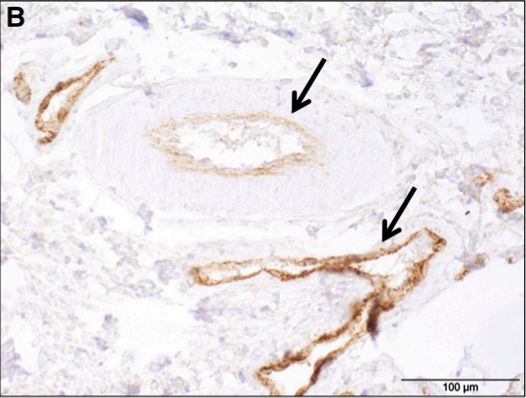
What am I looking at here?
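This section shows blood vessels in loose connective tissue, their endothelial lining stained brown. A vessel at the top has a thick, finely layered unstained wall enclosing a lumen rimmed by a brown band. Below it, thin-walled vessels with irregular, elongated lumens are outlined by a continuous brown lining. The surrounding tissue is loose and pale with scattered blue nuclei.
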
